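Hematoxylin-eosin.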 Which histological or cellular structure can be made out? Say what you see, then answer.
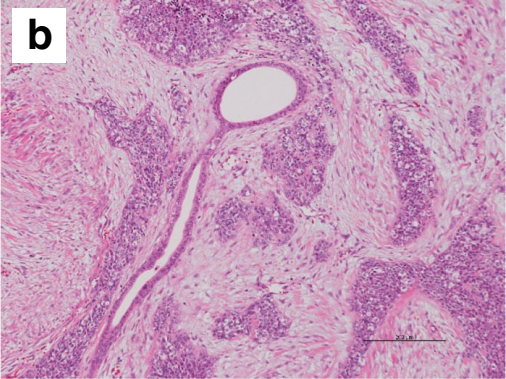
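Nests of tumor cells. Sharply bordered clusters of crowded cells with dark nuclei. The clusters vary in size. Pale fibrous stroma with spindle cells separates the clusters.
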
